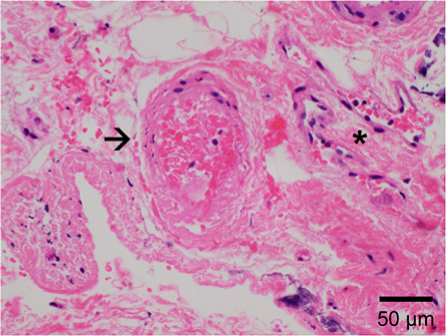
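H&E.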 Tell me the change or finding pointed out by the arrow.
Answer: Arteriolonecrosis.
